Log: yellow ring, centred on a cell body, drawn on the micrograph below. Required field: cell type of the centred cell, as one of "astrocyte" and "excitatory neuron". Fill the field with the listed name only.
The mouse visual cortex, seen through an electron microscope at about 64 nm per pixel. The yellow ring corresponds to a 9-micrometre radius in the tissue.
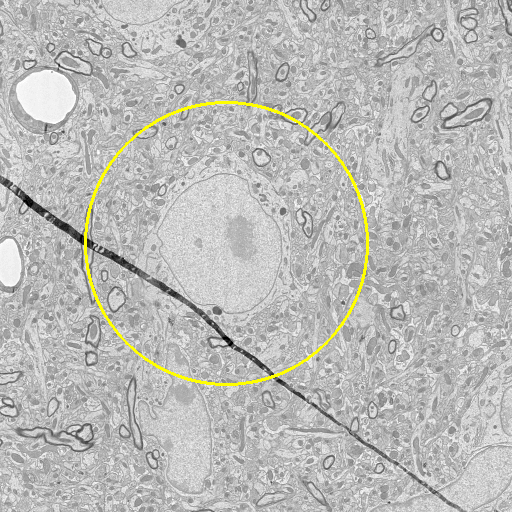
excitatory neuron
